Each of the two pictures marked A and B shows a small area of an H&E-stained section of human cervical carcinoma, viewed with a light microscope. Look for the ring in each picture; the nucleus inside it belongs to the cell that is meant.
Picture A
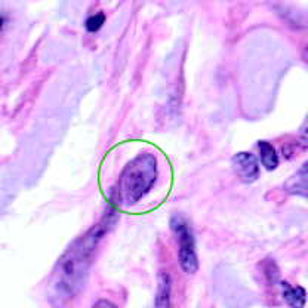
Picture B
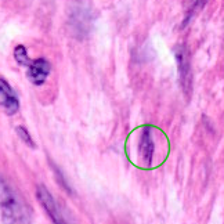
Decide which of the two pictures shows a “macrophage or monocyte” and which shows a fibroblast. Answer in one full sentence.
Picture A shows a “macrophage or monocyte” and picture B shows a fibroblast.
